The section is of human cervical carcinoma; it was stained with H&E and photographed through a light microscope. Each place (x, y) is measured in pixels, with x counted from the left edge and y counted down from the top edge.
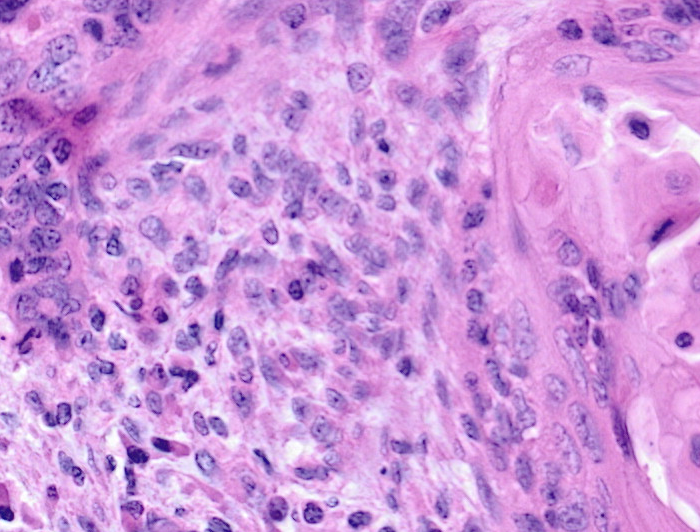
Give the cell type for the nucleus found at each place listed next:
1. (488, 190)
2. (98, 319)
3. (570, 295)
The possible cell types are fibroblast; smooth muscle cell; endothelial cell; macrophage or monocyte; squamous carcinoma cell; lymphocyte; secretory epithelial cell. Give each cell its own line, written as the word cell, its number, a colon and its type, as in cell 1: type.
cell 1: squamous carcinoma cell
cell 2: lymphocyte
cell 3: squamous carcinoma cell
